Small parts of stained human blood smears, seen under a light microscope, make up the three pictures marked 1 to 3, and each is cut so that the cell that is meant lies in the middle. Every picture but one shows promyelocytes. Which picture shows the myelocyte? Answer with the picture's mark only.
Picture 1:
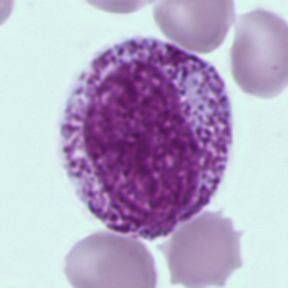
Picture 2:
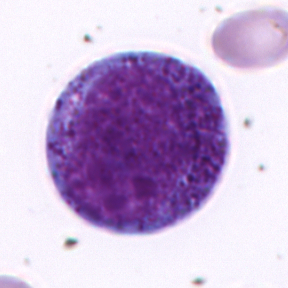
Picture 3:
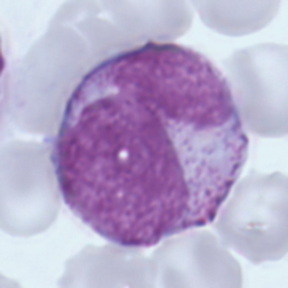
1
